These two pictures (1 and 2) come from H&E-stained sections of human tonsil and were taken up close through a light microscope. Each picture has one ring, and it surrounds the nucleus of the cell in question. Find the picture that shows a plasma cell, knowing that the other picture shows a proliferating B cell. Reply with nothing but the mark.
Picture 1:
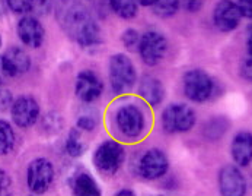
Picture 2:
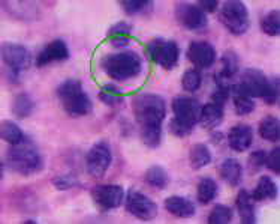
1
